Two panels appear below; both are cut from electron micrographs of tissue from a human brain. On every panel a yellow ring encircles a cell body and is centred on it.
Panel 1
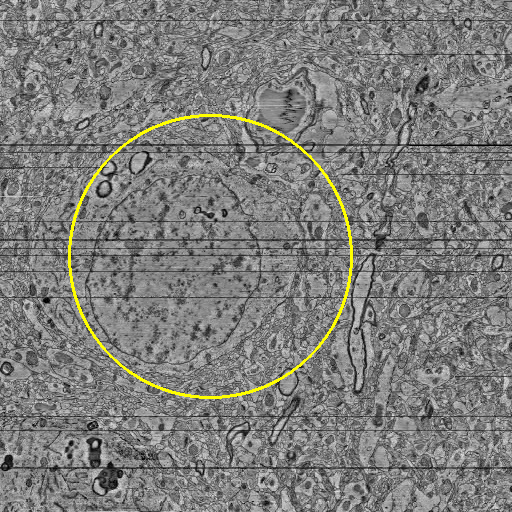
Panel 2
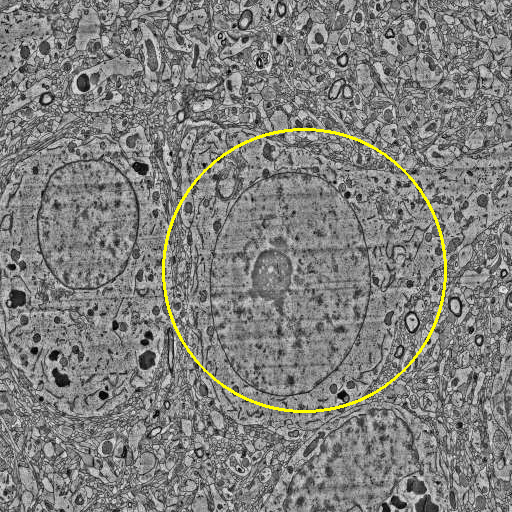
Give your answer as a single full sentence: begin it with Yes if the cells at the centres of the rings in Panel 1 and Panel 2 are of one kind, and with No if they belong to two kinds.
Yes, the cells in the middle of the rings in Panels 1 and 2 are of one kind.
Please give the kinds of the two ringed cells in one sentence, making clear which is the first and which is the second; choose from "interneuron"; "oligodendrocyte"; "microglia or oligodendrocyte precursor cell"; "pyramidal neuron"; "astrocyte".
Each of the two rings surrounds a pyramidal neuron.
